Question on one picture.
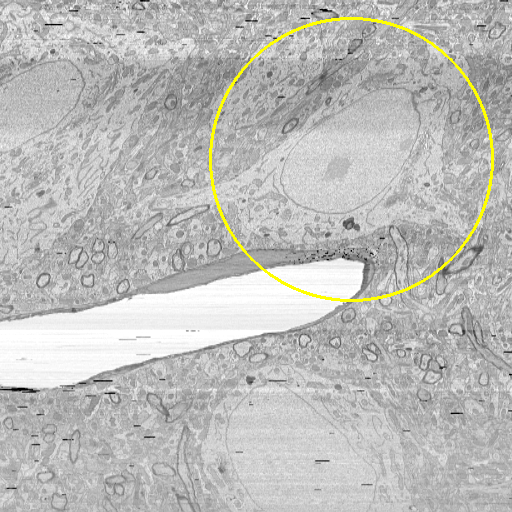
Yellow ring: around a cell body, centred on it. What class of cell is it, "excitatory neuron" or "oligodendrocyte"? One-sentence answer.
This is an excitatory neuron, the cell the ring is centred on.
